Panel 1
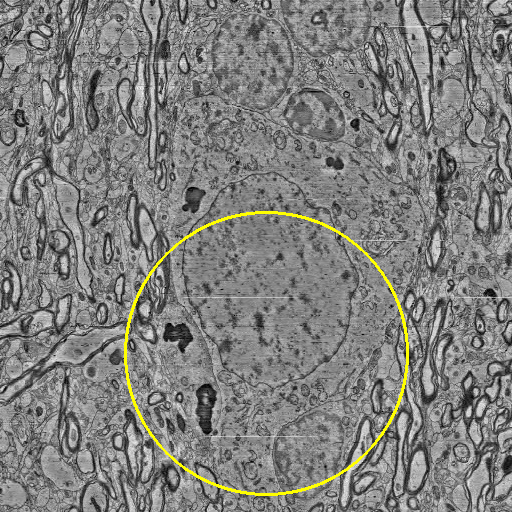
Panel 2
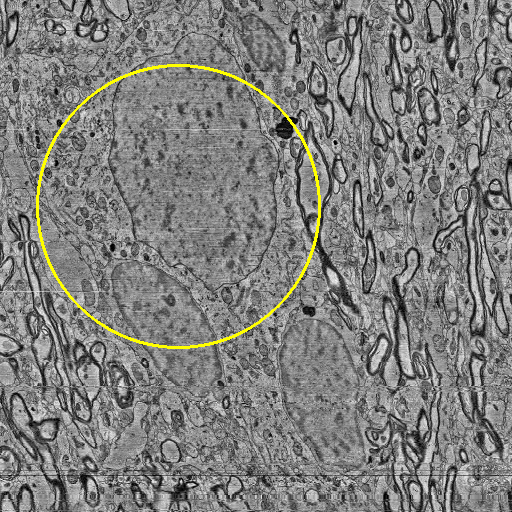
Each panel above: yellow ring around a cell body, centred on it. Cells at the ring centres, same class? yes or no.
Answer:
yes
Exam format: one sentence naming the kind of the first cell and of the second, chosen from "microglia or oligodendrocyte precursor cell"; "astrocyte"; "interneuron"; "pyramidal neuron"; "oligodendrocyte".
In the first picture and in the second, the ring is centred on a pyramidal neuron.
